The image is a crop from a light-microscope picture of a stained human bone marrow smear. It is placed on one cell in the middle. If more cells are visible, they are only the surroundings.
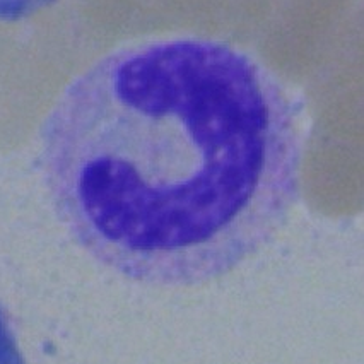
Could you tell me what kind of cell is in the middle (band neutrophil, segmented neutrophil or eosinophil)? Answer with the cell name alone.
band neutrophil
